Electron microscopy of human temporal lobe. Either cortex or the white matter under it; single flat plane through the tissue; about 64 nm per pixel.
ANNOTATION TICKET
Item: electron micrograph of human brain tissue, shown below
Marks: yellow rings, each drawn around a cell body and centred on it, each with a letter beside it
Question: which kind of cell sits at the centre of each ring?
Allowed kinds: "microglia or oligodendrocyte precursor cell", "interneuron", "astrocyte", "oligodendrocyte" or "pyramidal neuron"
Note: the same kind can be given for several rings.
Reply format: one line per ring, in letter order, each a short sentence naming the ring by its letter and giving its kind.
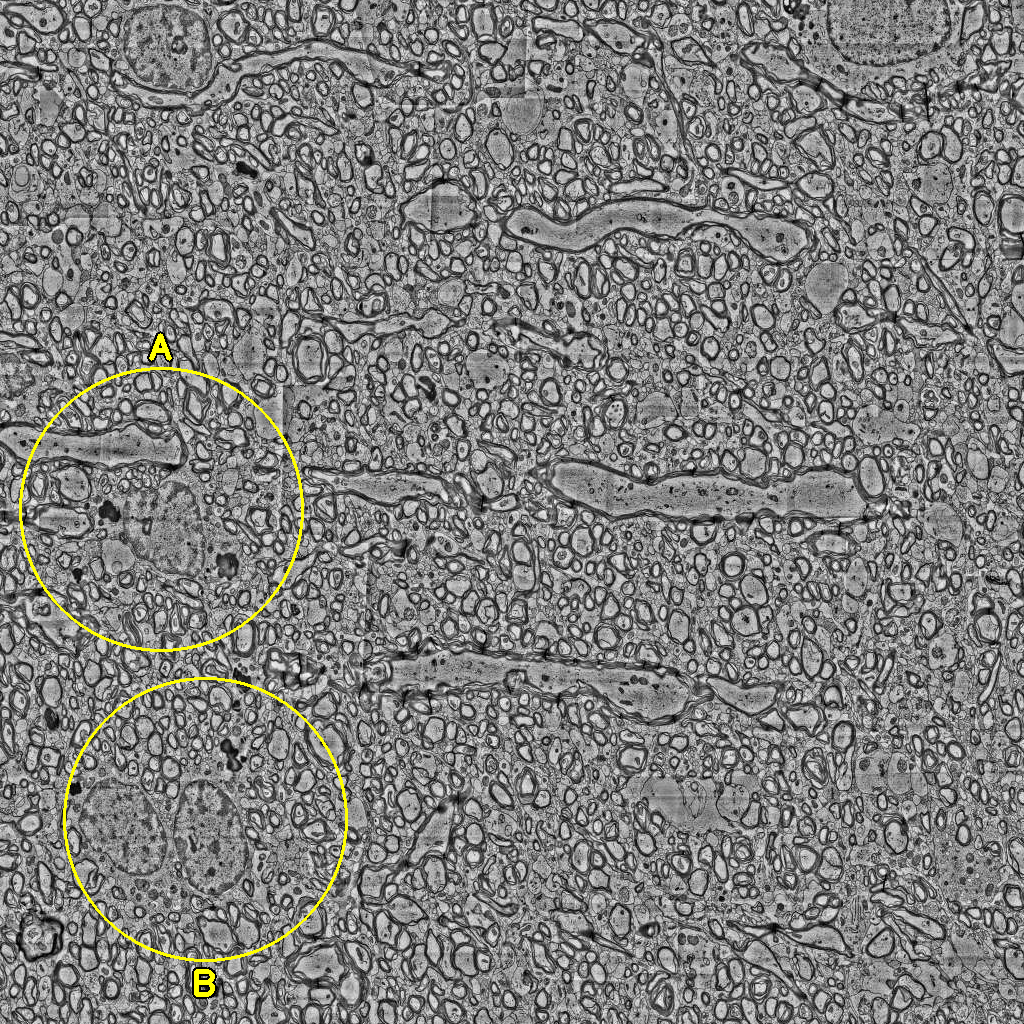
The cell at the centre of ring A is an oligodendrocyte.
The cell at the centre of ring B is an oligodendrocyte.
